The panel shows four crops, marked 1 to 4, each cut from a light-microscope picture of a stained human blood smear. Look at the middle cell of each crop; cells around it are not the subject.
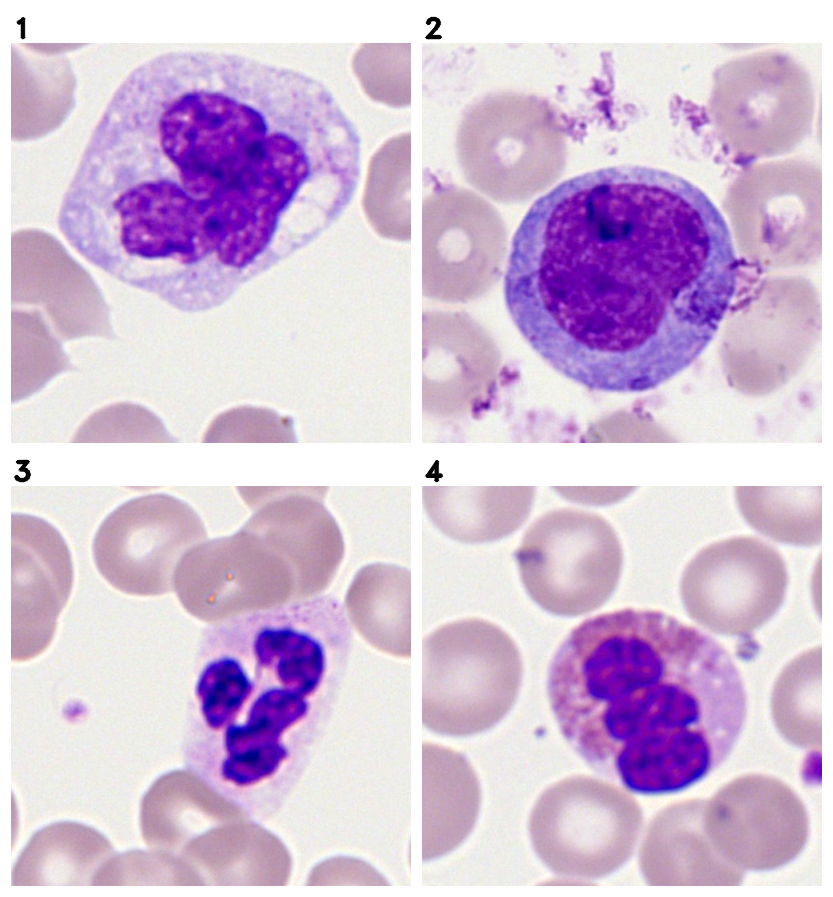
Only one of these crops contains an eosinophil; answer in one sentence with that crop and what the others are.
The cell in crop 4 is an eosinophil, while crop 1 is a monocyte, crop 2 is a myeloblast and crop 3 is a segmented neutrophil.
